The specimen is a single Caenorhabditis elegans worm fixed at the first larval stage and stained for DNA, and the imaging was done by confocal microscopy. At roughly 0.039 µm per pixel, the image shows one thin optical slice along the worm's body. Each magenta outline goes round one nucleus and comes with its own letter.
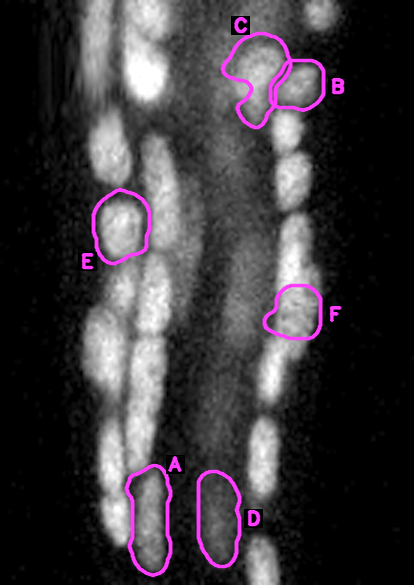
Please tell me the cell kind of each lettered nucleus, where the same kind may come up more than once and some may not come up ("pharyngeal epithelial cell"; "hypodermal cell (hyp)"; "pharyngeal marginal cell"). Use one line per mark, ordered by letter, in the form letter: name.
A: pharyngeal epithelial cell
B: hypodermal cell (hyp)
C: pharyngeal marginal cell
D: pharyngeal epithelial cell
E: hypodermal cell (hyp)
F: hypodermal cell (hyp)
